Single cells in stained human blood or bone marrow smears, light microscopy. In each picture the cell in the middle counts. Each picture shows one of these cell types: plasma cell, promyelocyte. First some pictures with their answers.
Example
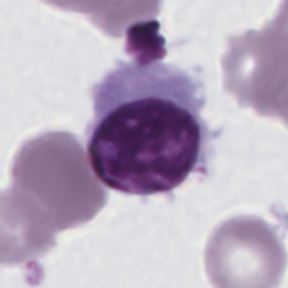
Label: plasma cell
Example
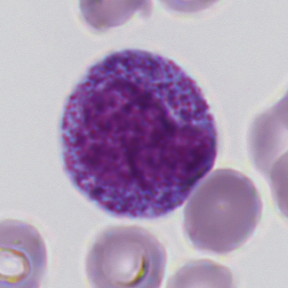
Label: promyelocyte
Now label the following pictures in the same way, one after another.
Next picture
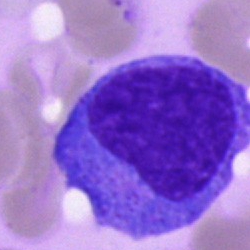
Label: promyelocyte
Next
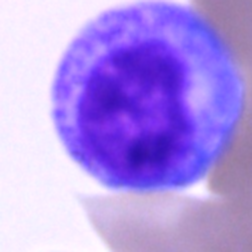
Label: promyelocyte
